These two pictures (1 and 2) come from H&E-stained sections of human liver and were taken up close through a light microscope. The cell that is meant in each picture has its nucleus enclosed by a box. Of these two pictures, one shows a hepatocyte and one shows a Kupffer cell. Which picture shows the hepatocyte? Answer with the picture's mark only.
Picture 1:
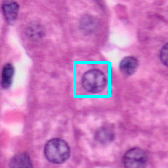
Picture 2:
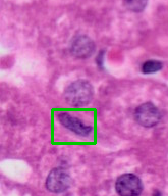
1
